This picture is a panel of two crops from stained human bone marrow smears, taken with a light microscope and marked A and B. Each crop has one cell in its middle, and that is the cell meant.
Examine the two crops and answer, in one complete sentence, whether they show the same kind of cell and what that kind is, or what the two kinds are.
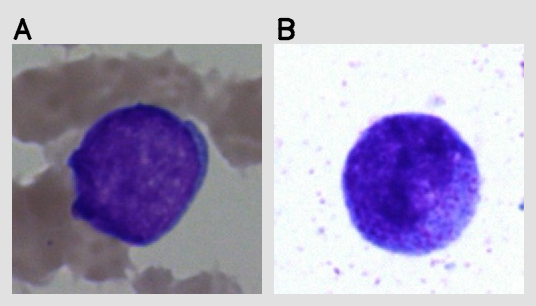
No, a promyelocyte is in crop B, and a blast is in crop A.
